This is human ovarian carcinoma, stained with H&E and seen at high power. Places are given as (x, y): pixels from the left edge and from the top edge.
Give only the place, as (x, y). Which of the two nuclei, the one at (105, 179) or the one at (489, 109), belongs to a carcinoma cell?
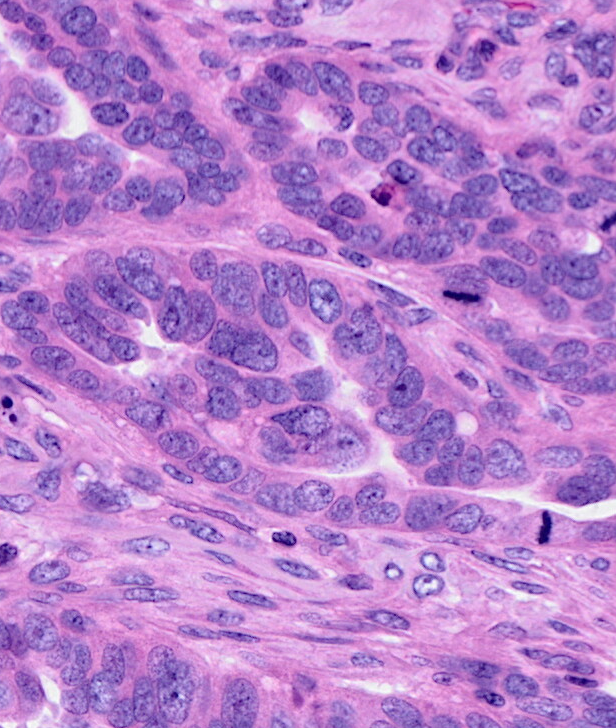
(105, 179)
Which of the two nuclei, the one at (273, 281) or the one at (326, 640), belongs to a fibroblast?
(326, 640)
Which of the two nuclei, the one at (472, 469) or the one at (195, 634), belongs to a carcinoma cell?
(472, 469)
